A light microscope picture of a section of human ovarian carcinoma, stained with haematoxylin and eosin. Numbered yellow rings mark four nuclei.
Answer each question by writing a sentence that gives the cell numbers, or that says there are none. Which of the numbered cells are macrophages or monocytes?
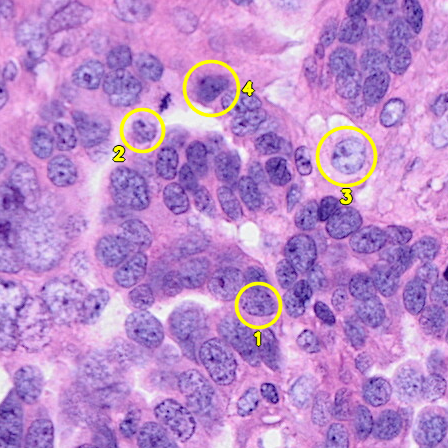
Across all the numbered cells, only number 2 is a macrophage or monocyte.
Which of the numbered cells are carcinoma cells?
Into the category of carcinoma cells fall the cells numbered 1 and 4.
